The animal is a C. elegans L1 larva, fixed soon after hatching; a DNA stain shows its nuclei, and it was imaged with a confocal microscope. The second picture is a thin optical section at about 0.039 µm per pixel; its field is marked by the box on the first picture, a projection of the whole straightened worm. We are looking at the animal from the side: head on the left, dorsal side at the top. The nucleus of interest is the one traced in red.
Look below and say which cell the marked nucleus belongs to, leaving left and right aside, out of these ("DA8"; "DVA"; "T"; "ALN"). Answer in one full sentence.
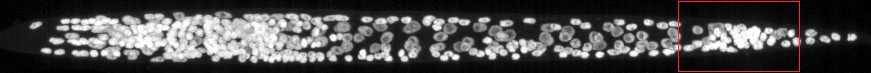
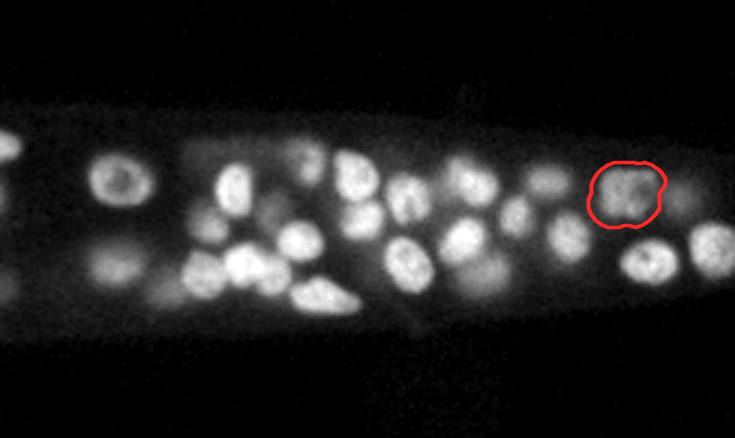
The marked cell is T, a seam cell.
